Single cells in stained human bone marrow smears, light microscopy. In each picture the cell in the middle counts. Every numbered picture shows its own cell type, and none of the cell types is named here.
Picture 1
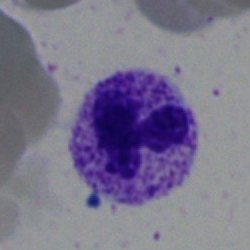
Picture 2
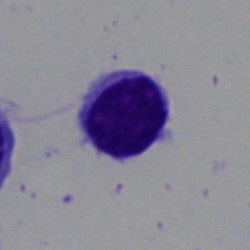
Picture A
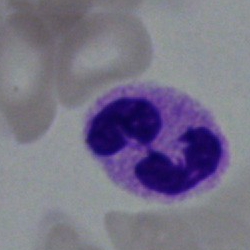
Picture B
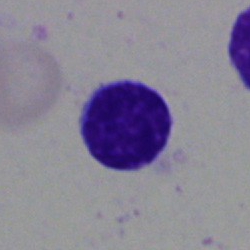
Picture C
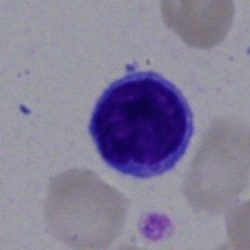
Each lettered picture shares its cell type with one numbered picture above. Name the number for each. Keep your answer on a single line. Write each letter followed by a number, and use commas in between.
A 1, B 2, C 2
